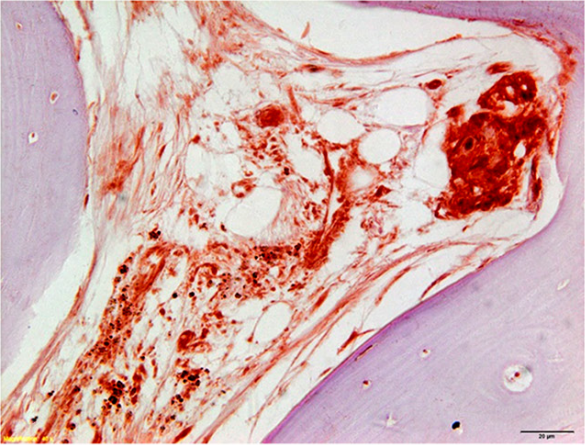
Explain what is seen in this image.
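This is a section of bone with a marrow space enclosed by trabeculae of pale purple, ossified bone that holds small scattered lacunae. Inside the space lies a loose network of strands and rounded empty holes, through which red-stained cells are spread. Near one edge the red cells gather into a dense, compact cluster, and elsewhere they lie along strands, many with dark granular deposits. Red-stained cells also run close along the bone surface at the margins of the space.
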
